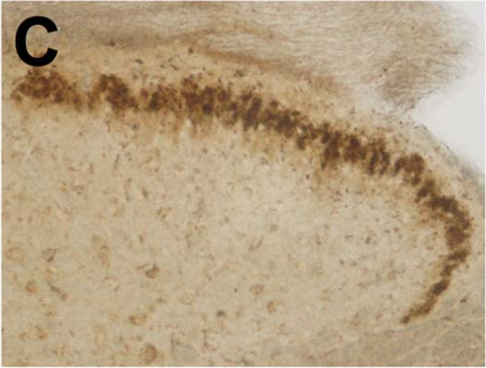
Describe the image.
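This is the dorsal horn of the spinal cord seen at low magnification. A narrow, dark brown, granular band curves along the outermost part of the dorsal horn gray matter, just beneath the overlying pale white matter. Below this band the gray matter is pale with scattered faintly stained small profiles.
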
